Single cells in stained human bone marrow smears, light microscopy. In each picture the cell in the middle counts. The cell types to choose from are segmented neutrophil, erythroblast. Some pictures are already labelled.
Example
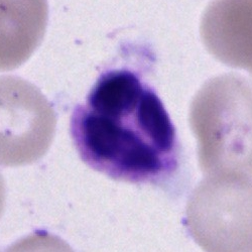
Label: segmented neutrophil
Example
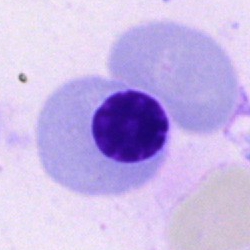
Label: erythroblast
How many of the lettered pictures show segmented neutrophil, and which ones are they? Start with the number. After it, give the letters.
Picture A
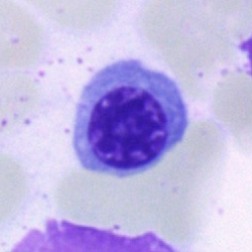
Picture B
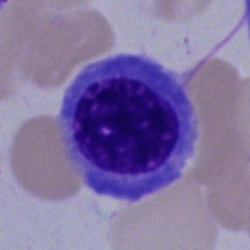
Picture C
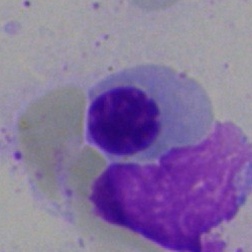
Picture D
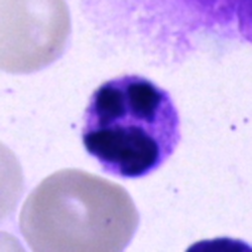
Count: 1 (D)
